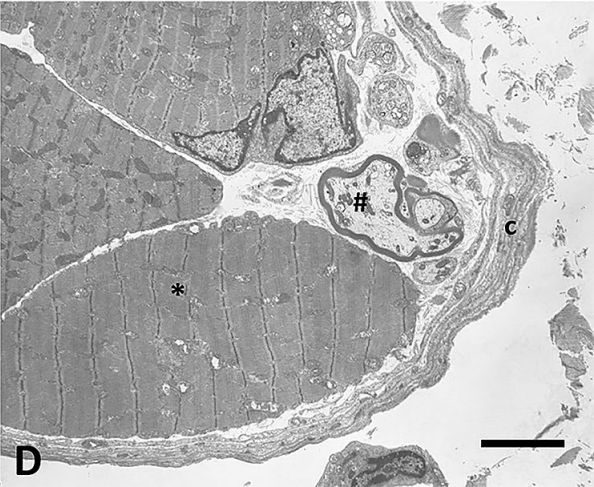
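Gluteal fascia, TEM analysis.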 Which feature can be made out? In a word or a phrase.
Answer: Muscle spindle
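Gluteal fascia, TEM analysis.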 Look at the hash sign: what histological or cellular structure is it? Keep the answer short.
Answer: nerve fibers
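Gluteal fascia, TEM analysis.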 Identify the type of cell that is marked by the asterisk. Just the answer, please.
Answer: Muscle fibers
